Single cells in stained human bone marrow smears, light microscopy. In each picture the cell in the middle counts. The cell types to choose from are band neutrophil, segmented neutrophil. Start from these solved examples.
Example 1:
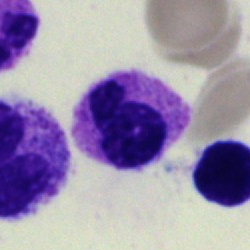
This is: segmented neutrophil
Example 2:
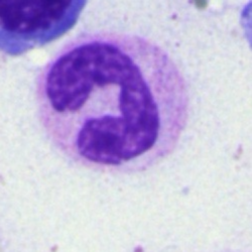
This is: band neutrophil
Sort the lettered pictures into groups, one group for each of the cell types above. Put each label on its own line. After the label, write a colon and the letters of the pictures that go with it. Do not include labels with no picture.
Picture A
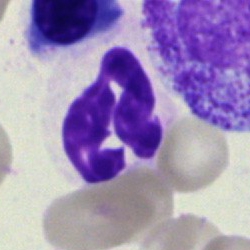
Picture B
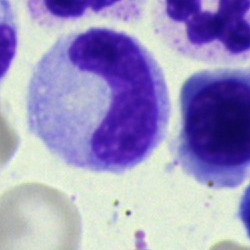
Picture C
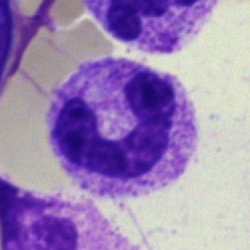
band neutrophil: B, C
segmented neutrophil: A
